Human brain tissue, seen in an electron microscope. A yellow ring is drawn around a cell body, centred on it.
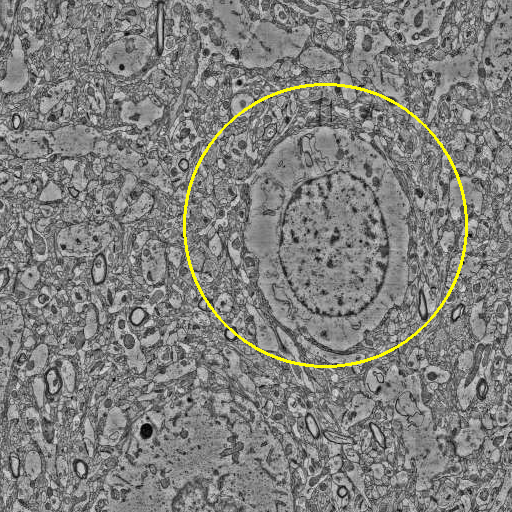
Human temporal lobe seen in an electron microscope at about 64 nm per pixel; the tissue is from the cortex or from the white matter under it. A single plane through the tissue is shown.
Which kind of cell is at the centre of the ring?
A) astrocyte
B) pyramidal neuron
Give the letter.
A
